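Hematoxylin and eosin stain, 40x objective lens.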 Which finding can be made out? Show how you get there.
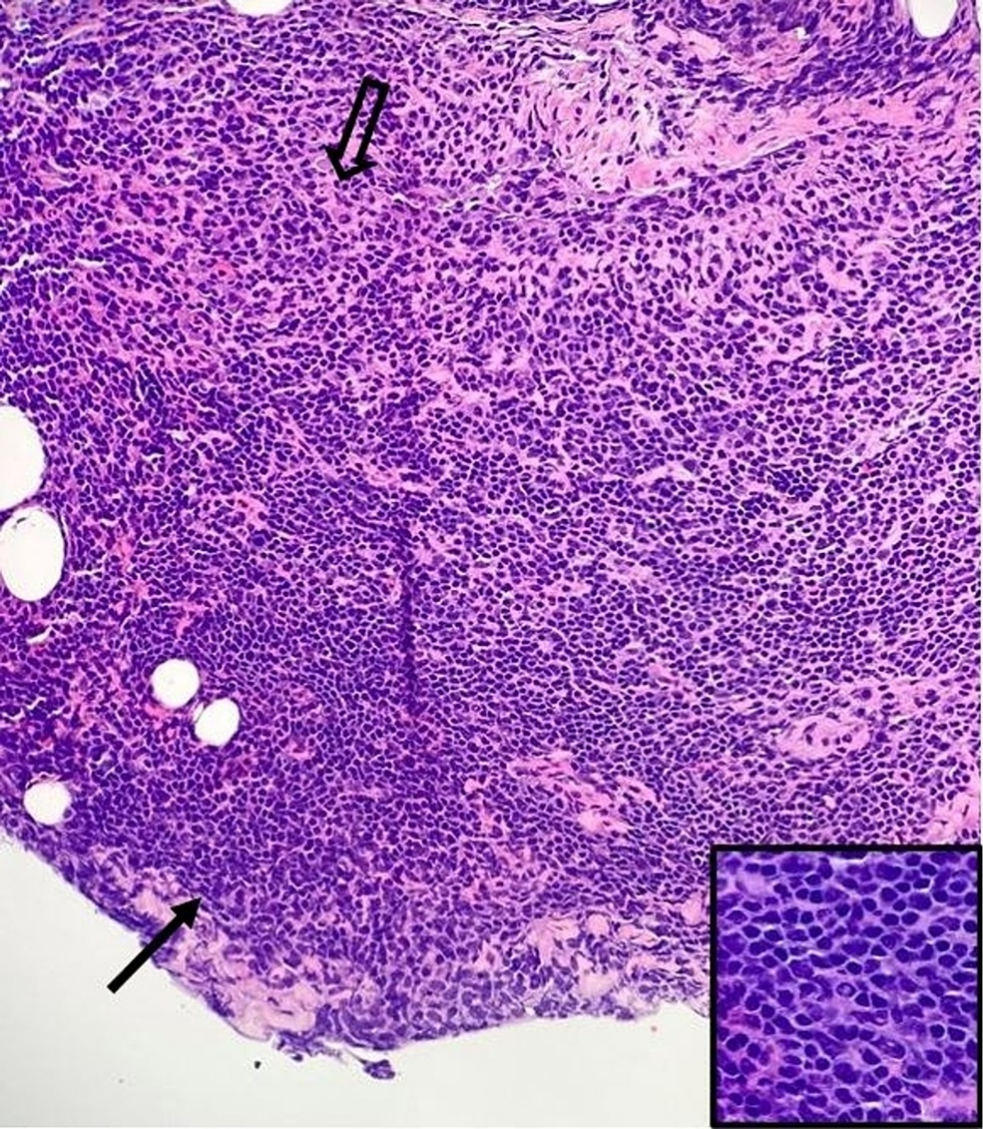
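Diffuse infiltration by atypical lymphocytes. Sheets of lymphoid cells fill almost the whole section. No follicles or other organised structures break up the cell sheets. Only a few round fat spaces and thin pink strands lie between the cells.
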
